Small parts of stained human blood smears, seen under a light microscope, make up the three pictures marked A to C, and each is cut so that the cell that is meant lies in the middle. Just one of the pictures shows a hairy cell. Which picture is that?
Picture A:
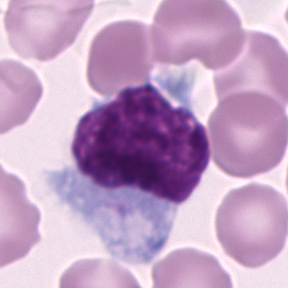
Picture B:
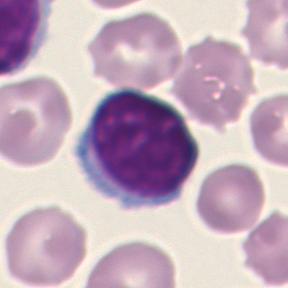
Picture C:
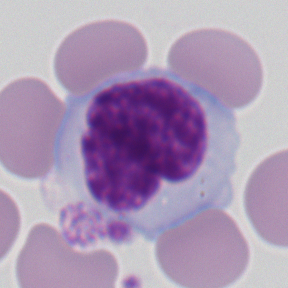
A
